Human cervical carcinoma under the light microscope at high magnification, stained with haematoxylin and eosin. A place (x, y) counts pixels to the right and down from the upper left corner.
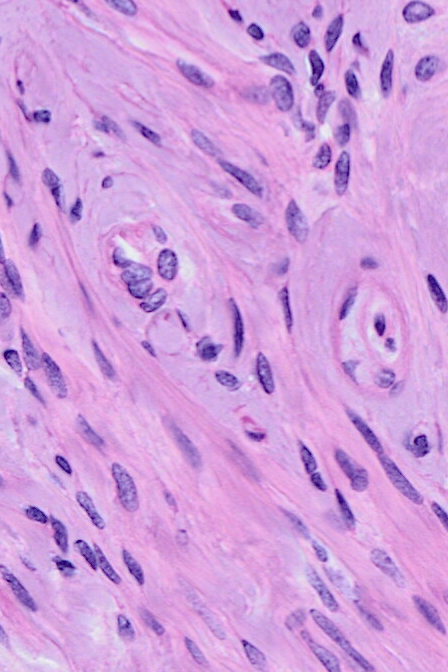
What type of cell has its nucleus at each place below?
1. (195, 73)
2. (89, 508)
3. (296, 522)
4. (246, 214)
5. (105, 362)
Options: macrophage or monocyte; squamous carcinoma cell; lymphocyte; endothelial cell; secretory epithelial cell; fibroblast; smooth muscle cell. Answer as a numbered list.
1. endothelial cell
2. fibroblast
3. fibroblast
4. smooth muscle cell
5. fibroblast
